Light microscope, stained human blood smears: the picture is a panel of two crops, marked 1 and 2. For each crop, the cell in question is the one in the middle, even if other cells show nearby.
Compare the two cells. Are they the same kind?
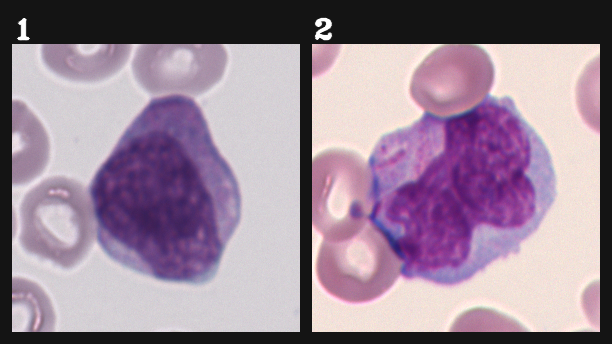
yes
